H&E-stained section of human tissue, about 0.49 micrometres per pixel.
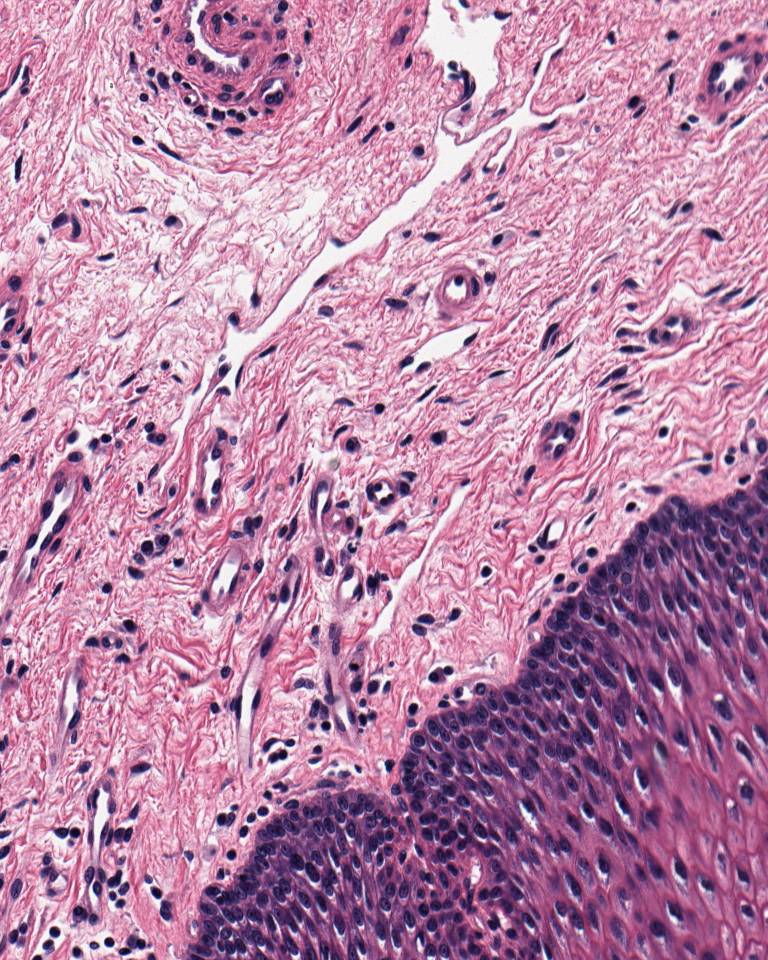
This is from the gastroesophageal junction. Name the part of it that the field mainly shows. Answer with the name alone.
loose connective tissue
